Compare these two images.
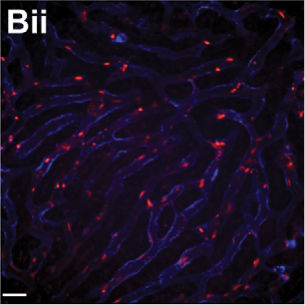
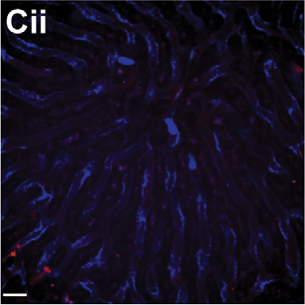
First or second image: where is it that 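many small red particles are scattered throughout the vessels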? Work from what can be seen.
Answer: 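Second image: the vessel network shows almost no red dots. First image: numerous bright red dots are spread along the vessel channels. The answer: the first image.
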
